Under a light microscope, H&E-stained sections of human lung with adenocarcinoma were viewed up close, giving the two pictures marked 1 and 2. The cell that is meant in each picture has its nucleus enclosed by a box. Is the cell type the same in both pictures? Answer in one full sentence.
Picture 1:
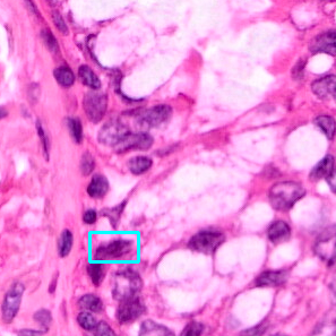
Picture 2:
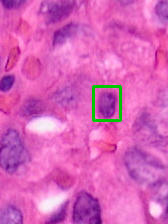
No; the cell in picture 1 is a ciliated epithelial cell, while the one in picture 2 is a “macrophage or monocyte”.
